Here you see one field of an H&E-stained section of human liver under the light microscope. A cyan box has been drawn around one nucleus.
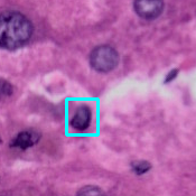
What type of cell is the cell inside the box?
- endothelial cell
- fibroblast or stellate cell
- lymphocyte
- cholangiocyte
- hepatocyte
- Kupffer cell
fibroblast or stellate cell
